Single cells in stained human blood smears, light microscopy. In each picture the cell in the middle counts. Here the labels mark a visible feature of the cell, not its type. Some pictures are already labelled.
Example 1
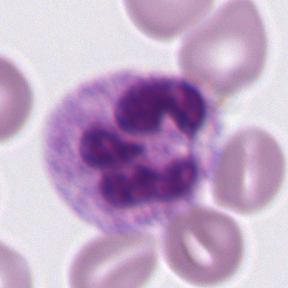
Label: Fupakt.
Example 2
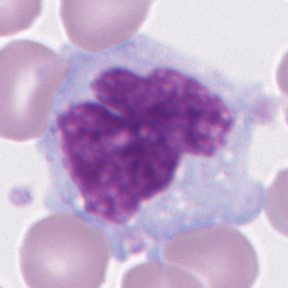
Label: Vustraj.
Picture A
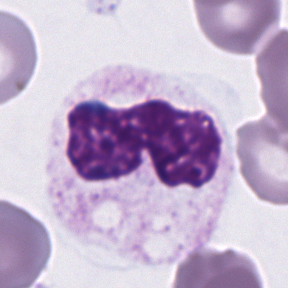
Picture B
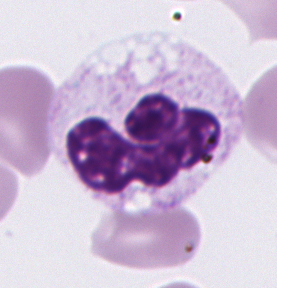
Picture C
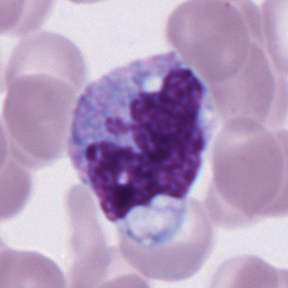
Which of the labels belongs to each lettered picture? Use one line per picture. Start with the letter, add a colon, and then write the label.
A: Vustraj.
B: Vustraj.
C: Vustraj.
